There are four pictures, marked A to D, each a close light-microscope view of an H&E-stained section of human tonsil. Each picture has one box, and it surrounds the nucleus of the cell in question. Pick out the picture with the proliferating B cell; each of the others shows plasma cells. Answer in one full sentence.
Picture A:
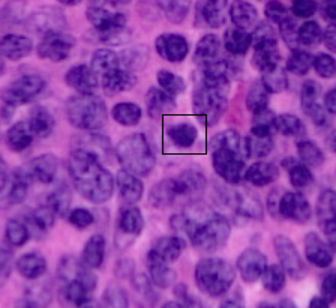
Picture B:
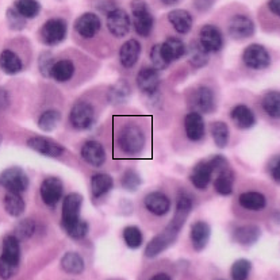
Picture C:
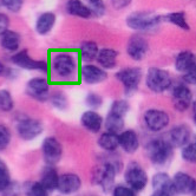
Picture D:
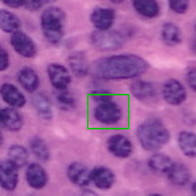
The proliferating B cell is the one in picture A.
